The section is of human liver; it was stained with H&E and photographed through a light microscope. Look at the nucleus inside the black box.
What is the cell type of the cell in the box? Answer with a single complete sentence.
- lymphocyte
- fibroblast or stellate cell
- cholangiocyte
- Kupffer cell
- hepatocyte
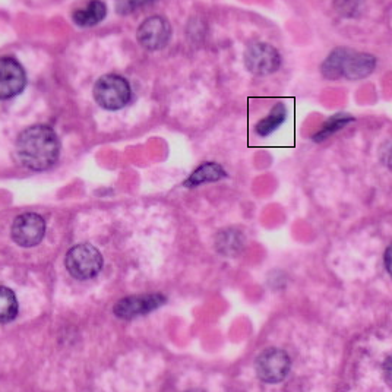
The expected answer is simply that the cell in the box is a lymphocyte.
